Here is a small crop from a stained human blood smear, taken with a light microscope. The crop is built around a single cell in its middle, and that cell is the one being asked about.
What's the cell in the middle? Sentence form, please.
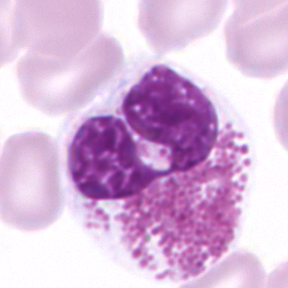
The identification for the central cell is an eosinophil.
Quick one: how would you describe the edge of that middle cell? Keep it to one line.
No projections interrupt the outline; it is smooth all the way round.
